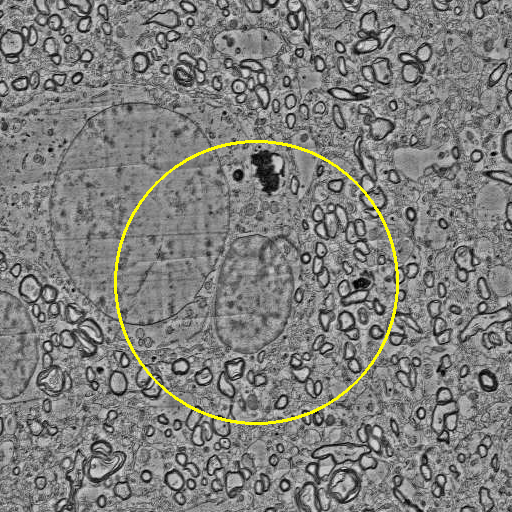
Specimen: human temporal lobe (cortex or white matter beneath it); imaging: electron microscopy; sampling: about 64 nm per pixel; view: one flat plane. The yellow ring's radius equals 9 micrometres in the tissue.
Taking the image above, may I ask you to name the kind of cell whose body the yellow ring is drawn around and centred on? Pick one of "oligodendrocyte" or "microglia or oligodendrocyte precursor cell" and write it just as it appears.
oligodendrocyte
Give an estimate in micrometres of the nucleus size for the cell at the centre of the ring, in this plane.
In this plane the nucleus measures roughly 8 by 5 micrometers.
